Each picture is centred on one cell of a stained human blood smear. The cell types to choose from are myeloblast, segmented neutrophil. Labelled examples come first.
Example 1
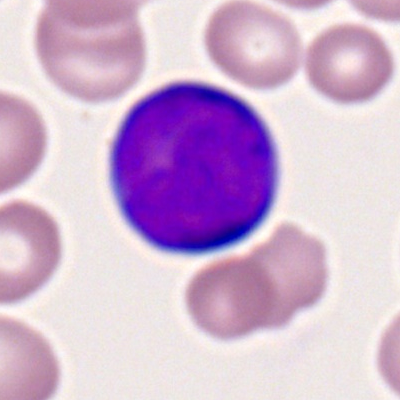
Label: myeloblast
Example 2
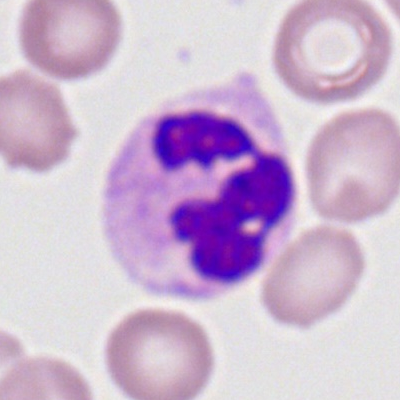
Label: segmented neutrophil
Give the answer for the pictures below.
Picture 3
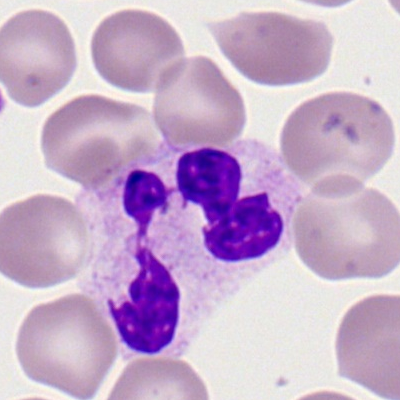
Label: segmented neutrophil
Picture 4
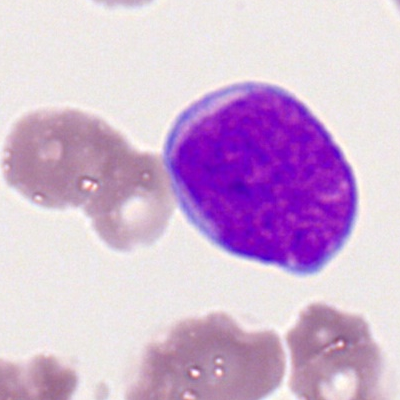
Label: myeloblast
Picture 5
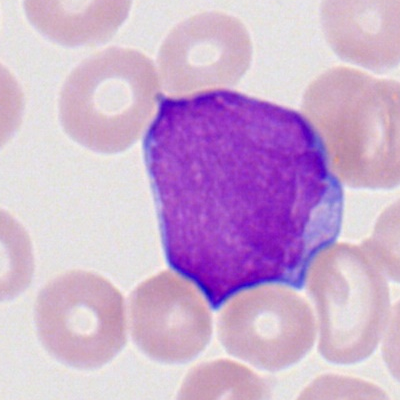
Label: myeloblast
